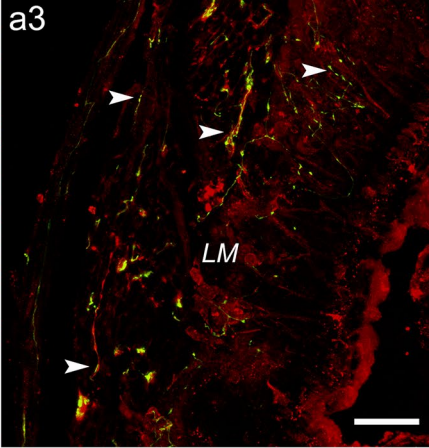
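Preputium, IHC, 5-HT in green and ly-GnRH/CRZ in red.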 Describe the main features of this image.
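The red channel outlines the muscle tissue faintly, with brighter red patches and a bright red folded edge along the right side. Thin beaded fibres, green or yellow where the two colours coincide, run mostly lengthwise and branch in the upper part. A few bright yellow clumps lie scattered toward the lower left.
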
